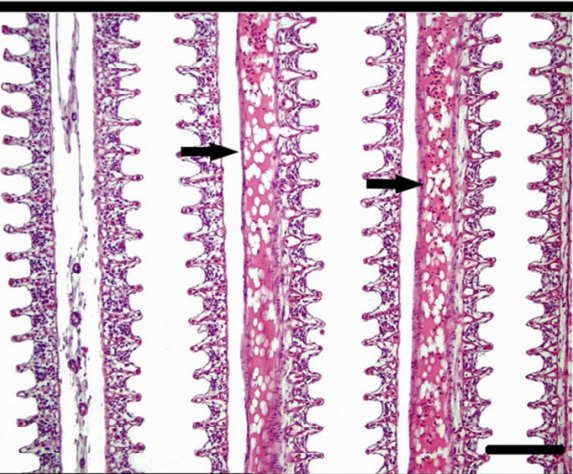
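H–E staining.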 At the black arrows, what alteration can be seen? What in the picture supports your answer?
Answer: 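The arrows point to broad, pink-red filament cores riddled with many clear spaces. That points to this answer: Hyperaemia and oedema.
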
